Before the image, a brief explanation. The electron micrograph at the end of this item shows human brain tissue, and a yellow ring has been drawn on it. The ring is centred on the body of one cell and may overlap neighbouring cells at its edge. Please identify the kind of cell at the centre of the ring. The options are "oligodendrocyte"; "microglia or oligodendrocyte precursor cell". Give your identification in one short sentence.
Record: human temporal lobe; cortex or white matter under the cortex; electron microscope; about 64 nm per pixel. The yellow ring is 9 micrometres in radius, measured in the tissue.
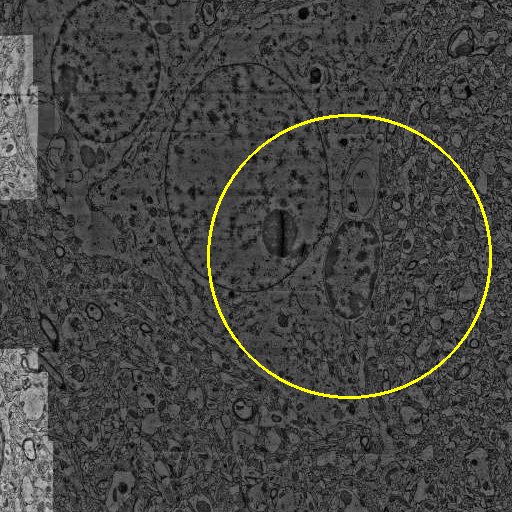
The ring has been placed around a microglial cell or oligodendrocyte precursor cell.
